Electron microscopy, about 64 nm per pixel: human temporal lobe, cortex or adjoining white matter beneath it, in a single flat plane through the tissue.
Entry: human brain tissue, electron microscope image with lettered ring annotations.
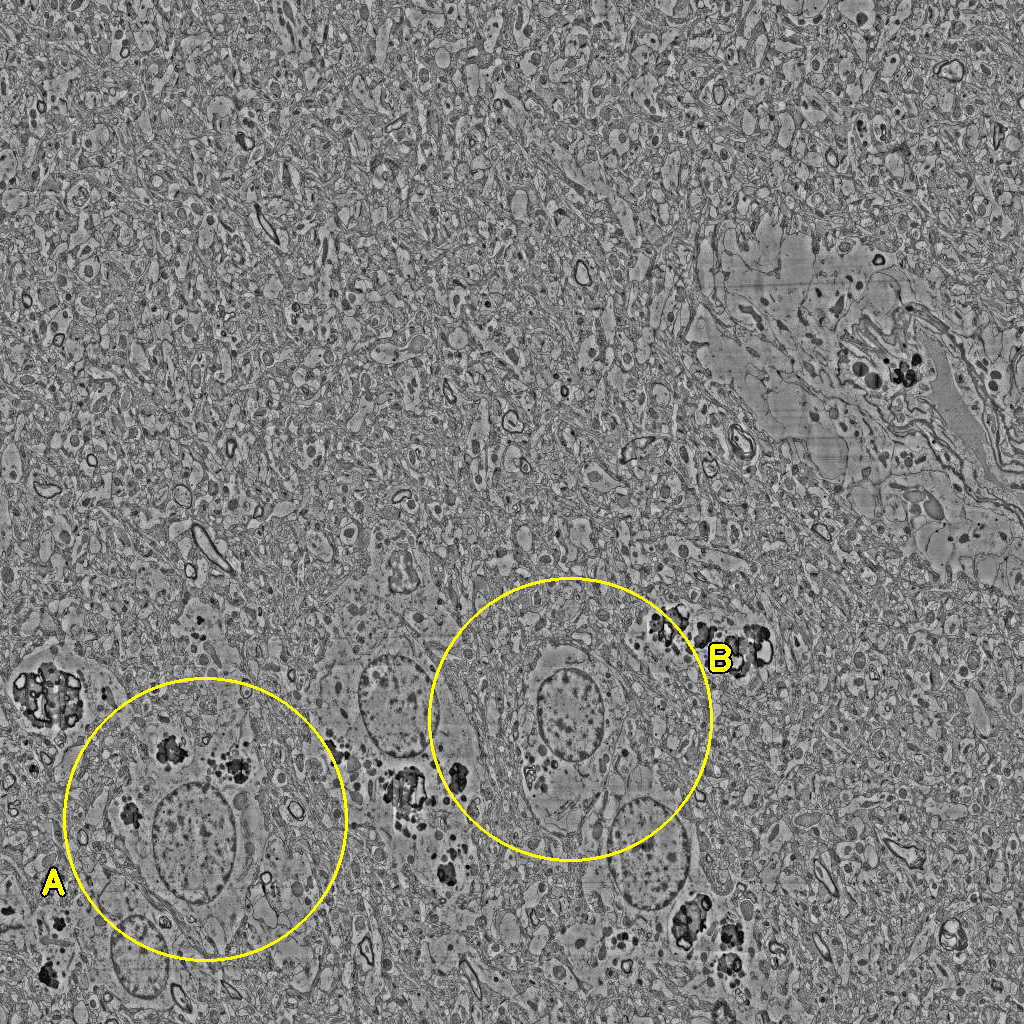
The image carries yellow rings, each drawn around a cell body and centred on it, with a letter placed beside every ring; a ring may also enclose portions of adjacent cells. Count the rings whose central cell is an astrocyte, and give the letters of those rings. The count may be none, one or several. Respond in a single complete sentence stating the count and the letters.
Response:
Altogether, two rings are centred on an astrocyte apiece, namely the ones carrying the letters A and B.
